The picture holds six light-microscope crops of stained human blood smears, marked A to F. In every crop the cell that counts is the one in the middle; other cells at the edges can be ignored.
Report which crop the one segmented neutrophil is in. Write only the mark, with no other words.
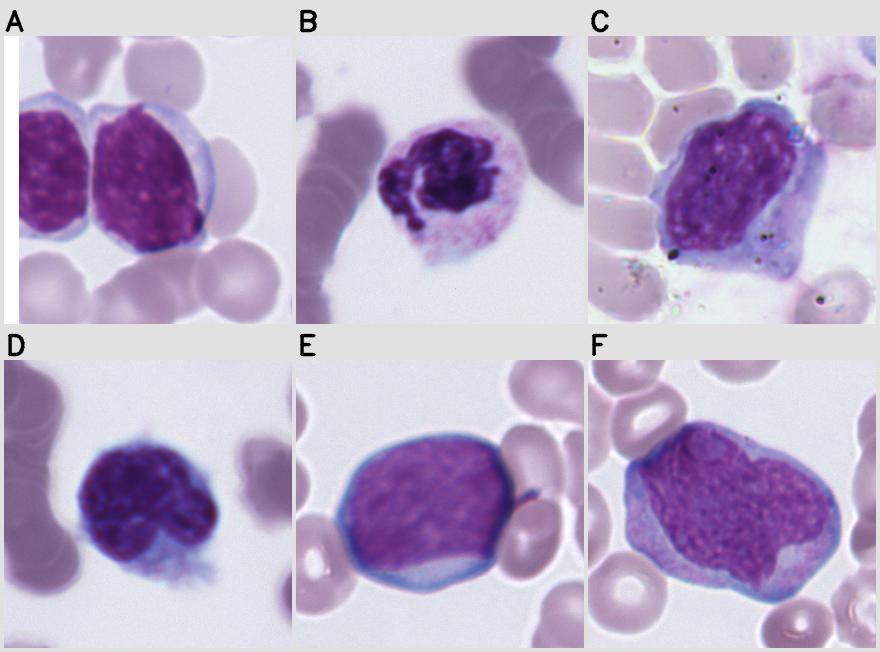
B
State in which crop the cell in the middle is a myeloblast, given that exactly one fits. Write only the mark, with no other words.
E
